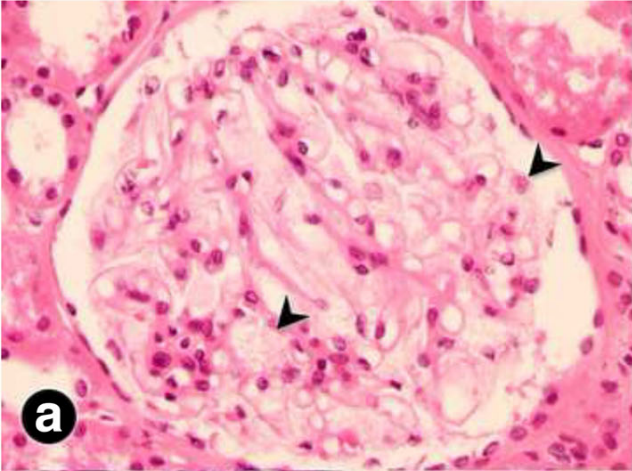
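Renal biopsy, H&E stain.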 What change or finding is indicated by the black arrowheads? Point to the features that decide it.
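The arrowheads point to pale, bubbly cells on the outer side of the glomerular capillary loops. Their cytoplasm is filled with many small clear vacuoles. That points to this answer: vacuolizations of podocytes.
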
